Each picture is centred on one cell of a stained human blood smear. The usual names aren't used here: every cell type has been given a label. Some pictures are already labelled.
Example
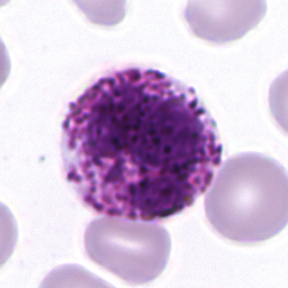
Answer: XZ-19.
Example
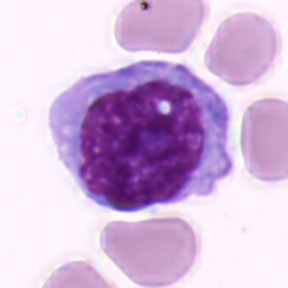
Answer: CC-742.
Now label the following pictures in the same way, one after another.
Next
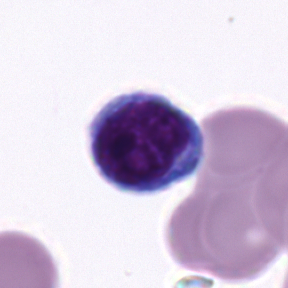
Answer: CC-742.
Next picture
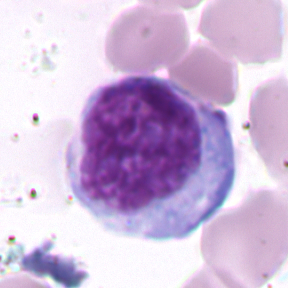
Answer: CC-742.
